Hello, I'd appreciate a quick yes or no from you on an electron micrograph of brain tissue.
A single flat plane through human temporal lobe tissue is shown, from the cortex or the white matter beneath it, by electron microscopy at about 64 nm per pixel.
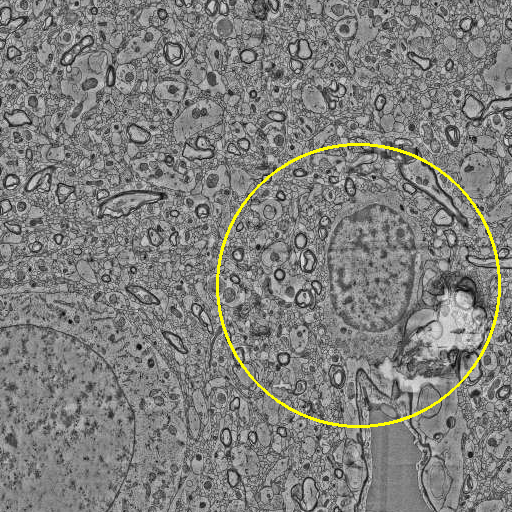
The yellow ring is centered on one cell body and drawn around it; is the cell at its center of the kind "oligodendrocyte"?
yes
